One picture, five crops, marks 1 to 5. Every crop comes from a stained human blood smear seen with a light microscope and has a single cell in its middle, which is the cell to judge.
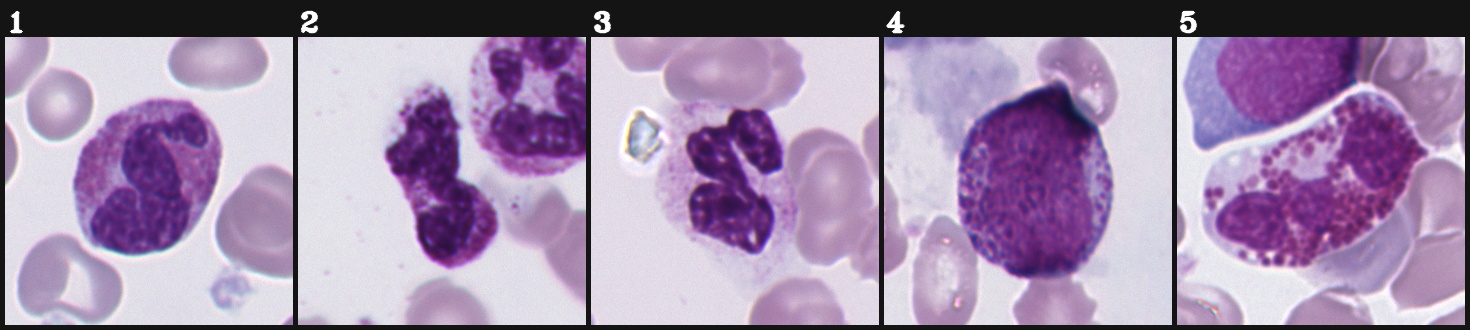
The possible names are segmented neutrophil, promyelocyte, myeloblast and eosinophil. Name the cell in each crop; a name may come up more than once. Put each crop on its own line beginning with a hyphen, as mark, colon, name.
- 1: eosinophil
- 2: segmented neutrophil
- 3: segmented neutrophil
- 4: promyelocyte
- 5: eosinophil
